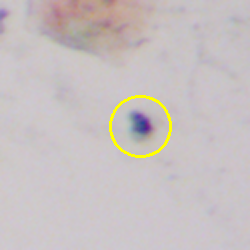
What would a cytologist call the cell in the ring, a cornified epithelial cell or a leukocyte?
A cytologist would call it a leukocyte.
